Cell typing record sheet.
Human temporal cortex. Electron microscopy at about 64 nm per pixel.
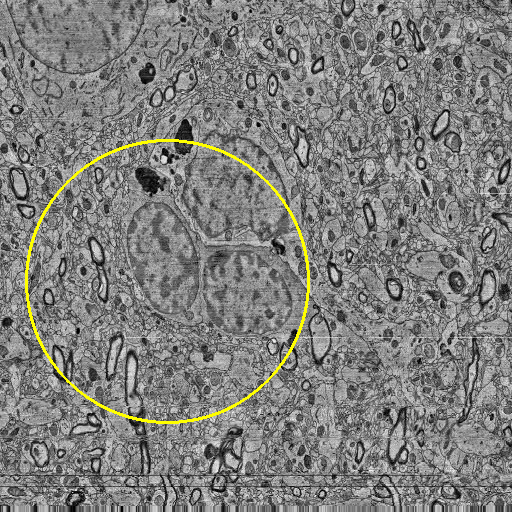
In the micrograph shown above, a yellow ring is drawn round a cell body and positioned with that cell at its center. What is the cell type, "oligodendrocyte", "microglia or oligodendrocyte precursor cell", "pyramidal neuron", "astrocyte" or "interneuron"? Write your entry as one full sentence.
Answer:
The cell body at the center of the ring belongs to an oligodendrocyte.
